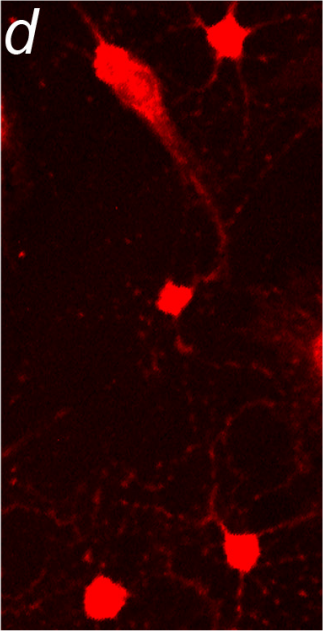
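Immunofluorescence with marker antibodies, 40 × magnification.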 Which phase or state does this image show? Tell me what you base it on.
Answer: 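Neuron-like morphology. Small rounded cell bodies. Thin processes radiate from the cell bodies. Fine branching processes cross the field.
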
